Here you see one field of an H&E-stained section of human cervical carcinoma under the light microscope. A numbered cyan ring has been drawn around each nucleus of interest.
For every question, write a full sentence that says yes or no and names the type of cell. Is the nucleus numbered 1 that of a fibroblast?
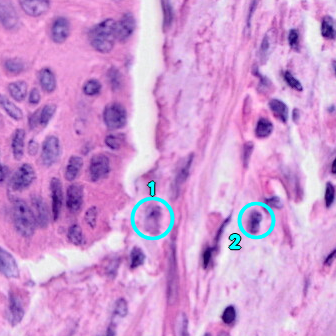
Yes, the cell shown as number 1 is a fibroblast.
